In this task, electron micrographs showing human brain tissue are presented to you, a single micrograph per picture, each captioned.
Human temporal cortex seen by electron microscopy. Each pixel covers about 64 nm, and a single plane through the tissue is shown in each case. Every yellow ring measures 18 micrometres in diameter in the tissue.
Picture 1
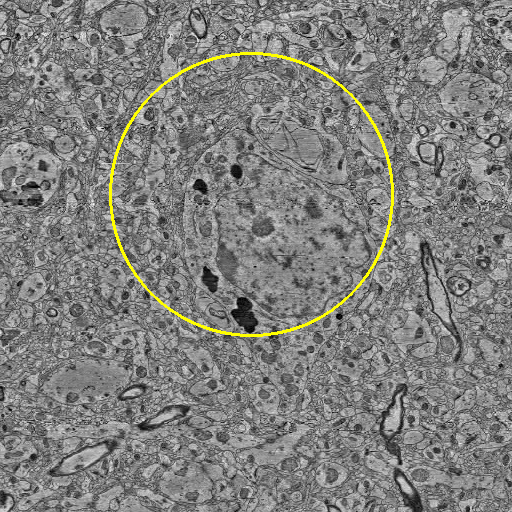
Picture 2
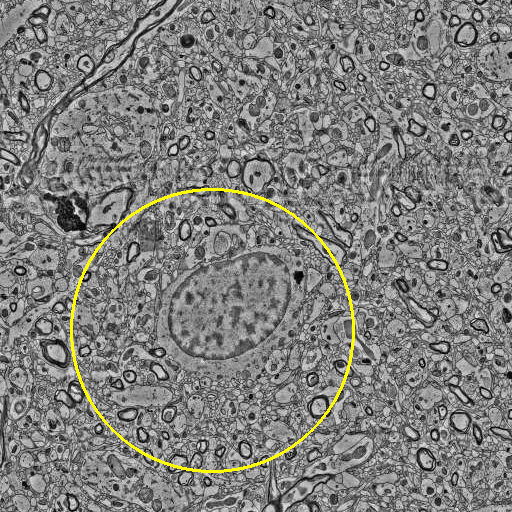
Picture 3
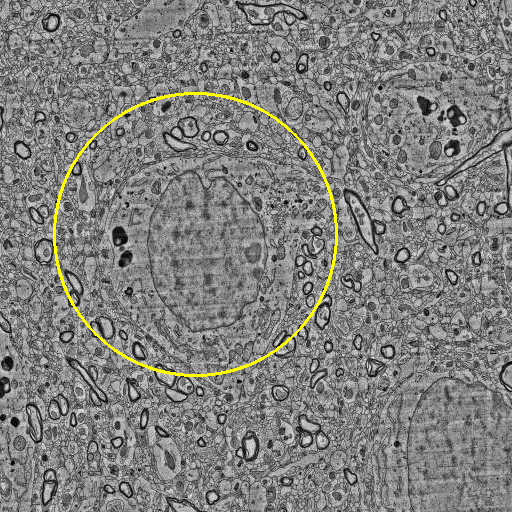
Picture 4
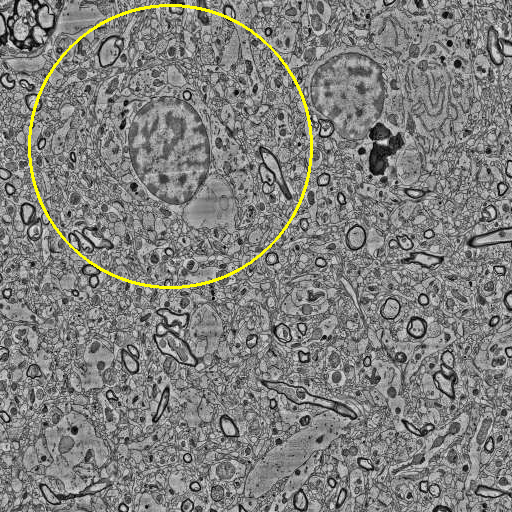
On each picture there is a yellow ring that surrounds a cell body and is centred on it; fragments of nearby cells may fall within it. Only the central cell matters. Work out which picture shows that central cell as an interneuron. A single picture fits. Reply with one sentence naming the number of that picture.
Of all the pictures, number 1 has the right cell in the centre of its ring.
